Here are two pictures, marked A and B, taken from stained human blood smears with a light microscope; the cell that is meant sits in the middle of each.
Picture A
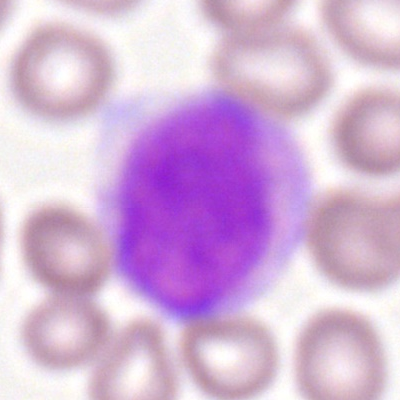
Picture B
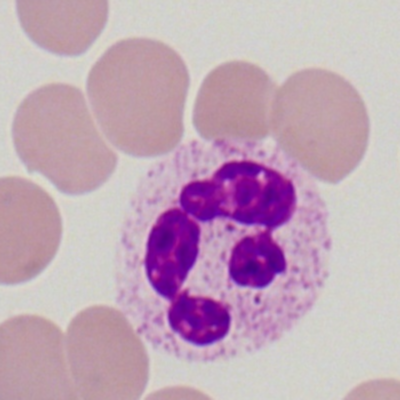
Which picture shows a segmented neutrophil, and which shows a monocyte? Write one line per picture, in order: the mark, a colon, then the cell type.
A: monocyte
B: segmented neutrophil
